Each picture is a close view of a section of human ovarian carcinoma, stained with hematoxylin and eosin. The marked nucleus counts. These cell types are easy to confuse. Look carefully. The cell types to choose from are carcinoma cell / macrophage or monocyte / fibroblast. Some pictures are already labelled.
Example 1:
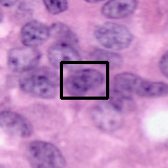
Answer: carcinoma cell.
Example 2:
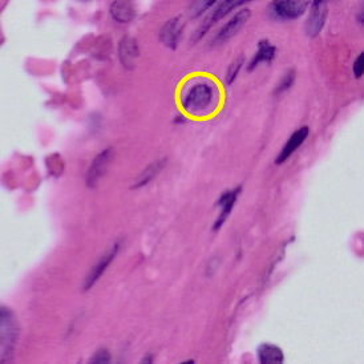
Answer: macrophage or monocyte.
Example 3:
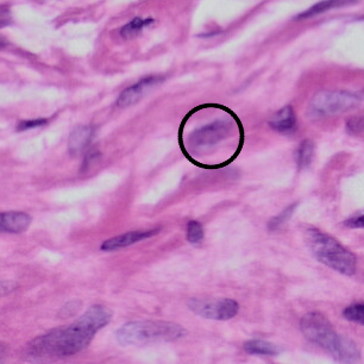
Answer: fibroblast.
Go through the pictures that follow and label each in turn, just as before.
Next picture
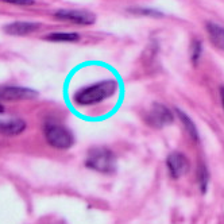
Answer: macrophage or monocyte.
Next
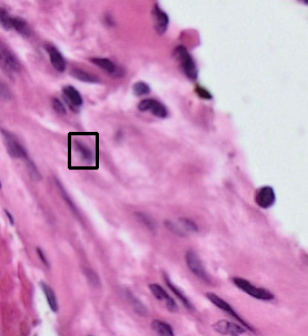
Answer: fibroblast.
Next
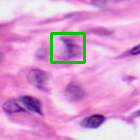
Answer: fibroblast.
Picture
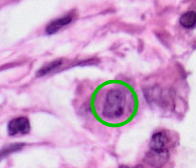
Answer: macrophage or monocyte.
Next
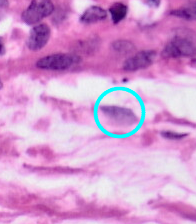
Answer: fibroblast.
